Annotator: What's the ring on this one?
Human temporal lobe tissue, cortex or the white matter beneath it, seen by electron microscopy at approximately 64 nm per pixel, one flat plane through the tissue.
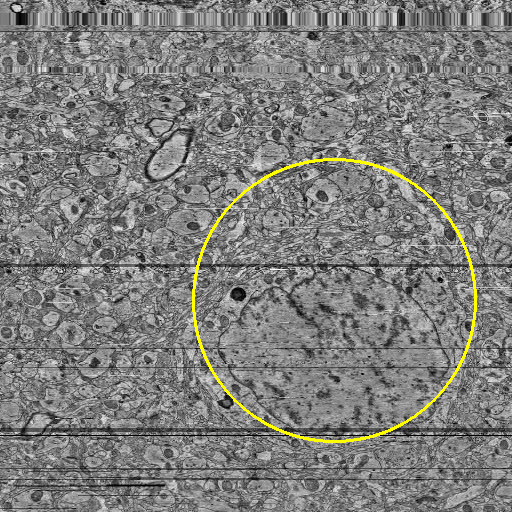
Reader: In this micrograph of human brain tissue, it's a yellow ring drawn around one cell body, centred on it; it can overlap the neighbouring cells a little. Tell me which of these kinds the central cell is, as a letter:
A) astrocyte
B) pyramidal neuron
B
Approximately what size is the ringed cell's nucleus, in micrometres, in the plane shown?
The nucleus of the ringed cell is approximately 15 by 11 micrometres in this plane.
